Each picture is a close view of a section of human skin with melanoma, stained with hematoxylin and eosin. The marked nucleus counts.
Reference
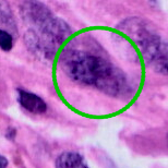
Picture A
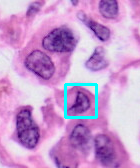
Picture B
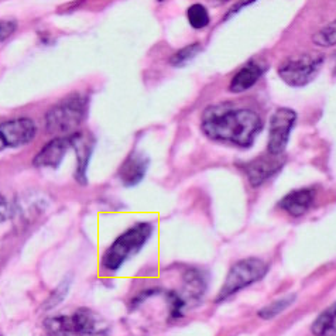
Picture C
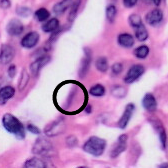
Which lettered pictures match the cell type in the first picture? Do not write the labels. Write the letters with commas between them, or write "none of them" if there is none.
A, B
